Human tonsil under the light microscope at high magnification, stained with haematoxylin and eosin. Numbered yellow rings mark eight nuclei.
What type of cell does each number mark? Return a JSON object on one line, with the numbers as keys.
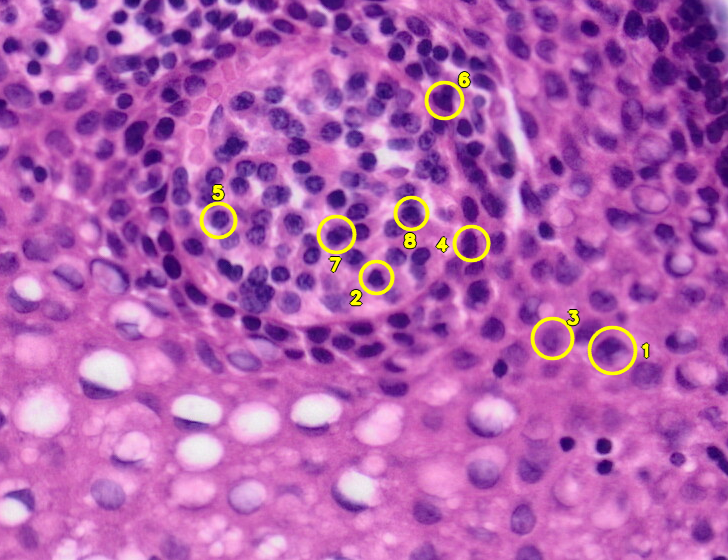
{"1": "squamous epithelial cell", "2": "plasma cell", "3": "squamous epithelial cell", "4": "squamous epithelial cell", "5": "plasma cell", "6": "squamous epithelial cell", "7": "plasma cell", "8": "plasma cell"}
